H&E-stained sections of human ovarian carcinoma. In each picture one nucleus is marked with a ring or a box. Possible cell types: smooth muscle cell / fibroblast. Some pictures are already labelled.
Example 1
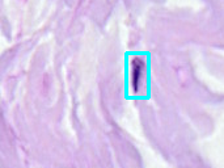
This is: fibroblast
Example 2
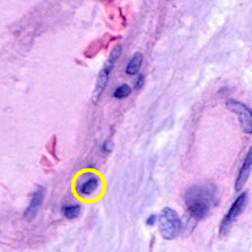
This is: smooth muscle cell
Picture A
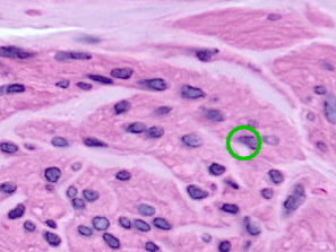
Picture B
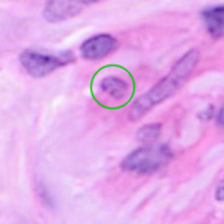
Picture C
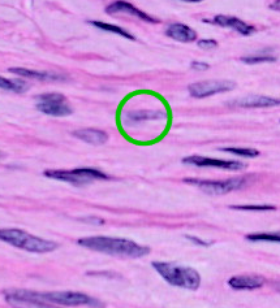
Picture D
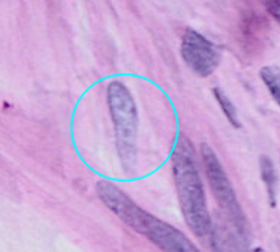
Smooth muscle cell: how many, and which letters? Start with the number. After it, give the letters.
Count: 4 (A, B, C, D)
